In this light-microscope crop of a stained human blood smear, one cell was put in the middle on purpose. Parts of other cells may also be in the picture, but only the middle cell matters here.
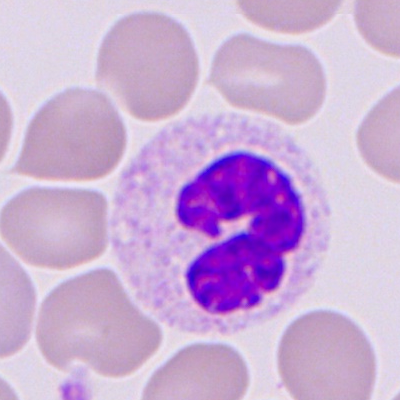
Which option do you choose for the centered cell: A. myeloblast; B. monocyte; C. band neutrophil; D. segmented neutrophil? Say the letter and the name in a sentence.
The correct identification, given in option C, is that the central cell is a band neutrophil.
